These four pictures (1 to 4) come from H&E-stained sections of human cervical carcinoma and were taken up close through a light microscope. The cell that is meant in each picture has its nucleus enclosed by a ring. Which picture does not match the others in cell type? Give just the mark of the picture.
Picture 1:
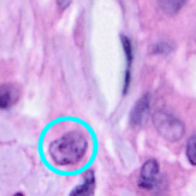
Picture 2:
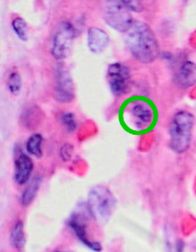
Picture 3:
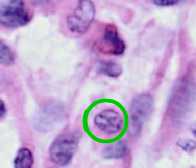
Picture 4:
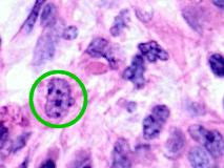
2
